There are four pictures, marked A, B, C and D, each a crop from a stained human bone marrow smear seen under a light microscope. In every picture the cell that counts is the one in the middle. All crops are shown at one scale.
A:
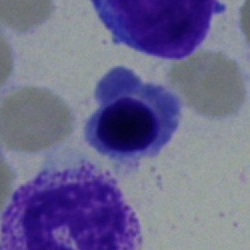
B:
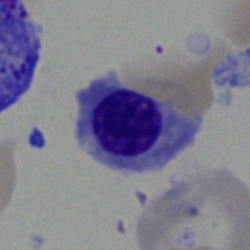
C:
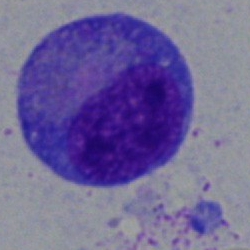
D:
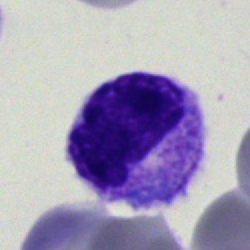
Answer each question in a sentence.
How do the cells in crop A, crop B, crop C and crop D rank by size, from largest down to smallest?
Going down, they run C, D, B, A.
